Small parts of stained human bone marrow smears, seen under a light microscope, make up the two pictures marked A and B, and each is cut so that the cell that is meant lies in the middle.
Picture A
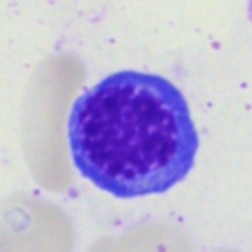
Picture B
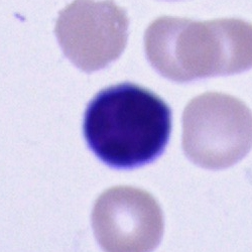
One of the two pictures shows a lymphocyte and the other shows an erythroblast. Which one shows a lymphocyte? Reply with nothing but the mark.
B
